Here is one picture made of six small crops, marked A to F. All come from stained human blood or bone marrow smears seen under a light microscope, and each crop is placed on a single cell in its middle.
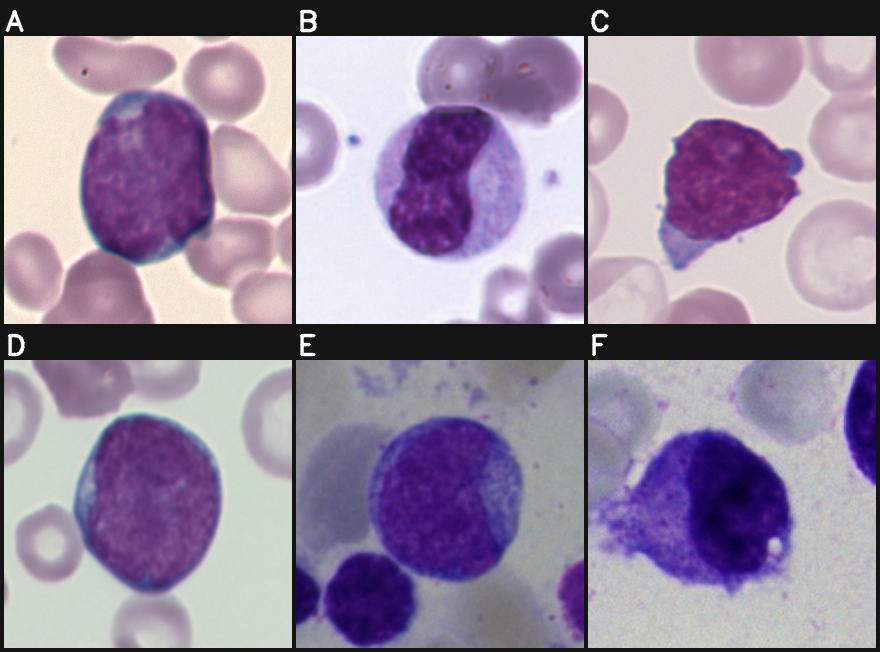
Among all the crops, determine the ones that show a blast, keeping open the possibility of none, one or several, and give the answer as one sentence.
What crops A, C, D and E show in the centre are blasts.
